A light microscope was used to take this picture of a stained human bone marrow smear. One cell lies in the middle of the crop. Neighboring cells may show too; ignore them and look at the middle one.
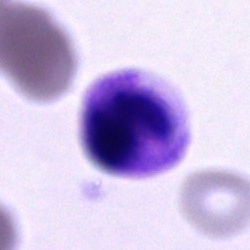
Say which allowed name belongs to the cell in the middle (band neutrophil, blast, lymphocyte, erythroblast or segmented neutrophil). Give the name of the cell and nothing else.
segmented neutrophil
